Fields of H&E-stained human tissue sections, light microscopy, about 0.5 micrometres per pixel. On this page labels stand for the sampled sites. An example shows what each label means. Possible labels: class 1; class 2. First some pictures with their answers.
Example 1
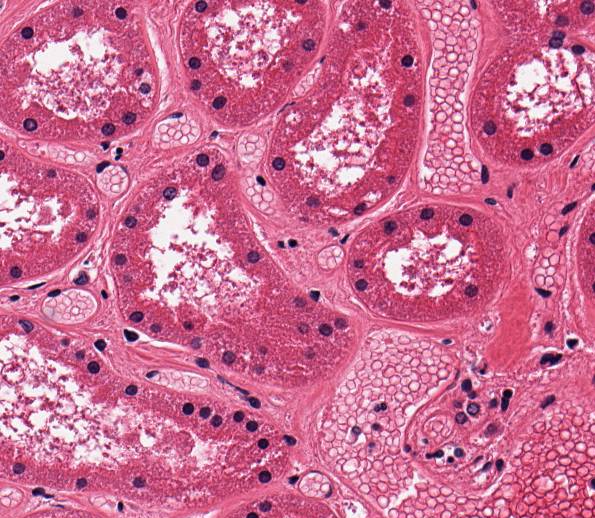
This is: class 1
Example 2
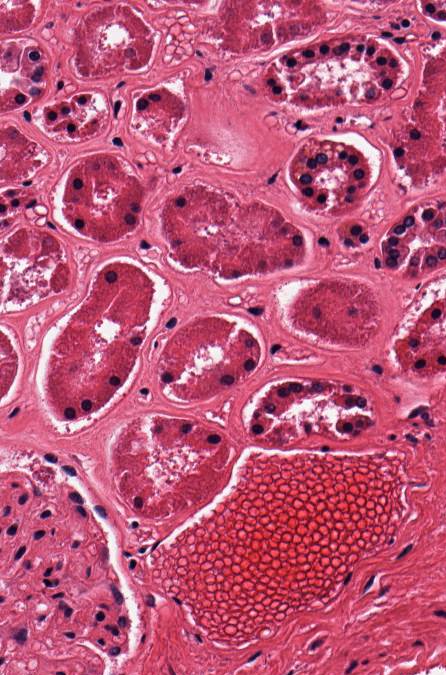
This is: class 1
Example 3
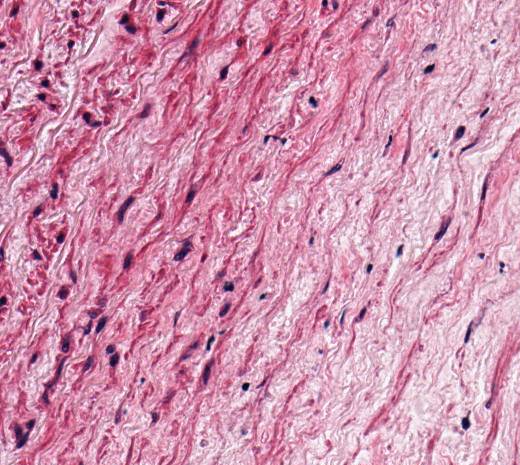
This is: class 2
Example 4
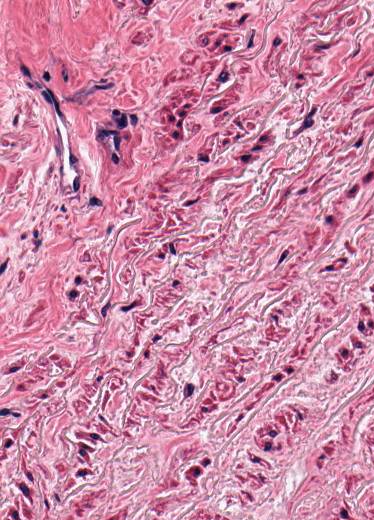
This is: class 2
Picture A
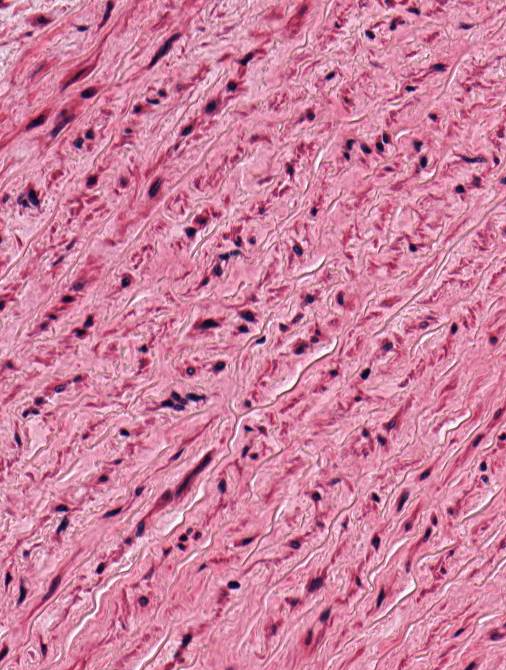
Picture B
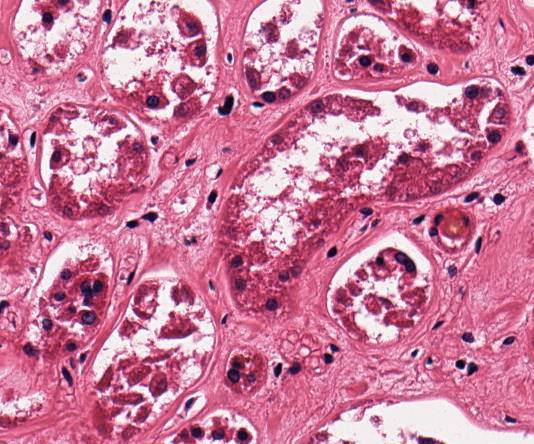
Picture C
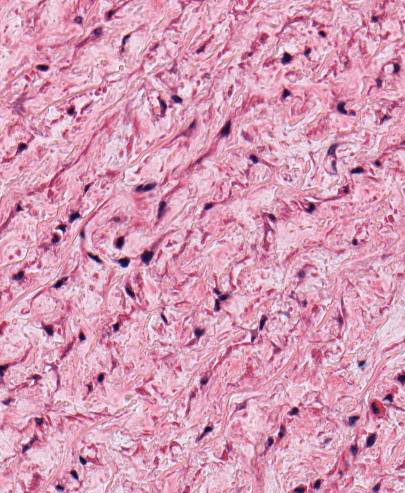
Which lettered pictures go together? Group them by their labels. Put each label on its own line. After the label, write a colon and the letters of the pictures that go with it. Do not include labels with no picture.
class 1: B
class 2: A, C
